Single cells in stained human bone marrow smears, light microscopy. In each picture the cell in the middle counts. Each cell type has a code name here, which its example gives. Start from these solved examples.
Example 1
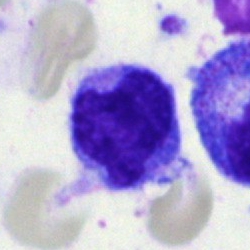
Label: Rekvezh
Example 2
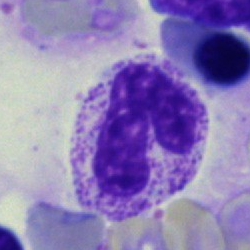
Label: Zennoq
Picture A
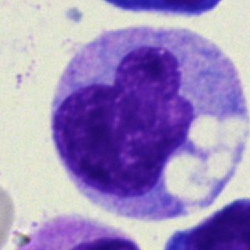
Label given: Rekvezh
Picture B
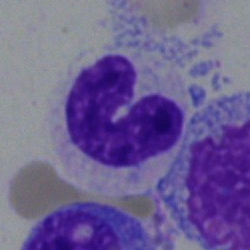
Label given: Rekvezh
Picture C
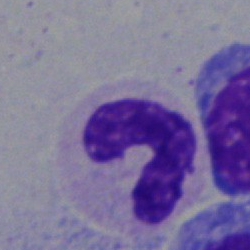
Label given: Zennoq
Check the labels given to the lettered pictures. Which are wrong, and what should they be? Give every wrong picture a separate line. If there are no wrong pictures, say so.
B: not Rekvezh but Zennoq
